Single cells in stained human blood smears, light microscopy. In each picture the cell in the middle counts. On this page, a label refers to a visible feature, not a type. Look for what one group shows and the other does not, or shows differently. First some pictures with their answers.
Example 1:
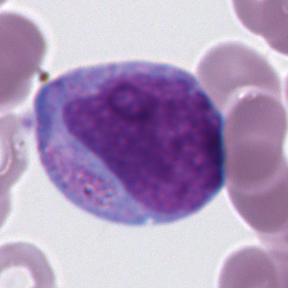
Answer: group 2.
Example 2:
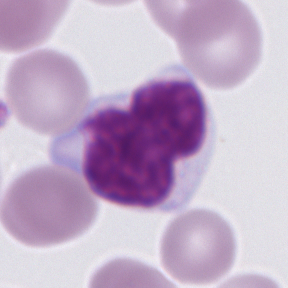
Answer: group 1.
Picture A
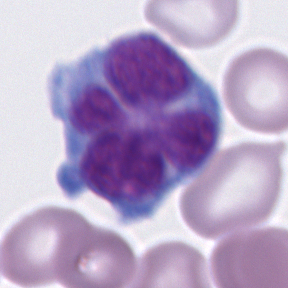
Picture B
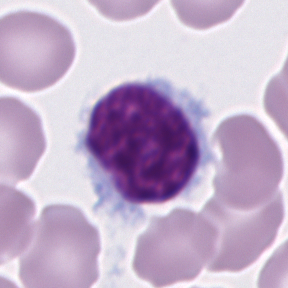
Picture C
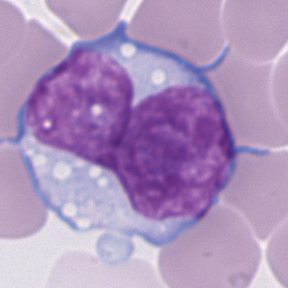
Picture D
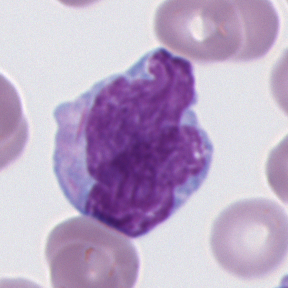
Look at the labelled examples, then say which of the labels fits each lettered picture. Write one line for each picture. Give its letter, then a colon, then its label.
A: group 1.
B: group 2.
C: group 1.
D: group 1.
